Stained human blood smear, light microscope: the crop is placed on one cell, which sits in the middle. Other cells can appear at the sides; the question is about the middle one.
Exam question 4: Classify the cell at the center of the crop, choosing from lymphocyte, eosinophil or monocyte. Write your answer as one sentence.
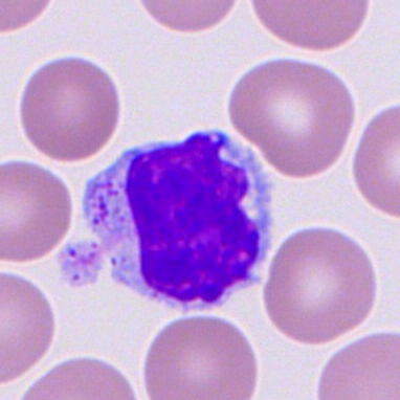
The cell sitting right in the middle is a lymphocyte.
